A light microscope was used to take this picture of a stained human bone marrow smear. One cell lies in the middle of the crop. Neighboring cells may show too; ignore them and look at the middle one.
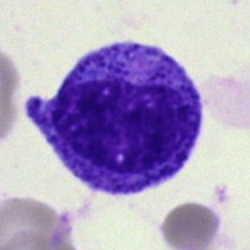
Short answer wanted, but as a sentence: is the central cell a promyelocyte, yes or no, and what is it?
Yes, the cell in the middle has the identity of a promyelocyte.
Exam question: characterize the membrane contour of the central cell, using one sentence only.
A smooth outline is absent here, replaced by ragged stretches or projections.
